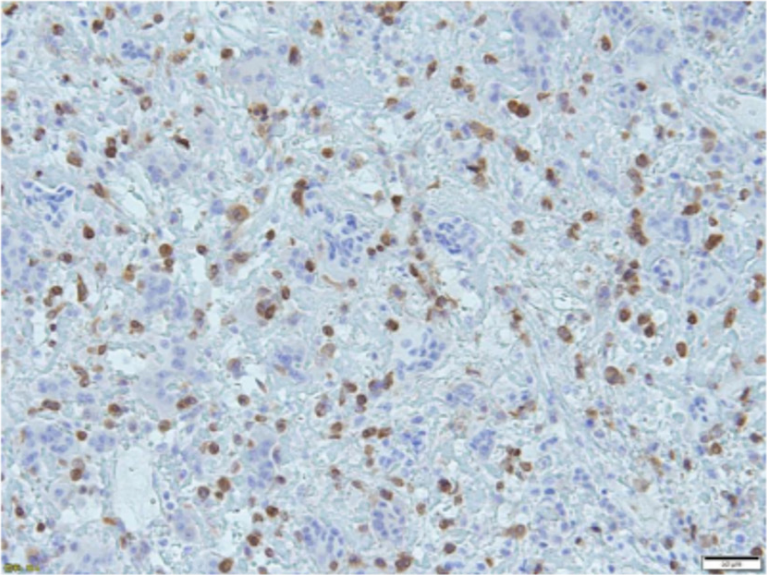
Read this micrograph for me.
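In this tumor tissue, many scattered mononuclear stromal cells are stained brown, while the large osteoclast-like giant cells remain pale with clusters of blue nuclei. The brown-stained stromal cells are small, round to spindle-shaped, and lie between and around the giant cells. Many other mononuclear cells show only blue nuclei without brown staining.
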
